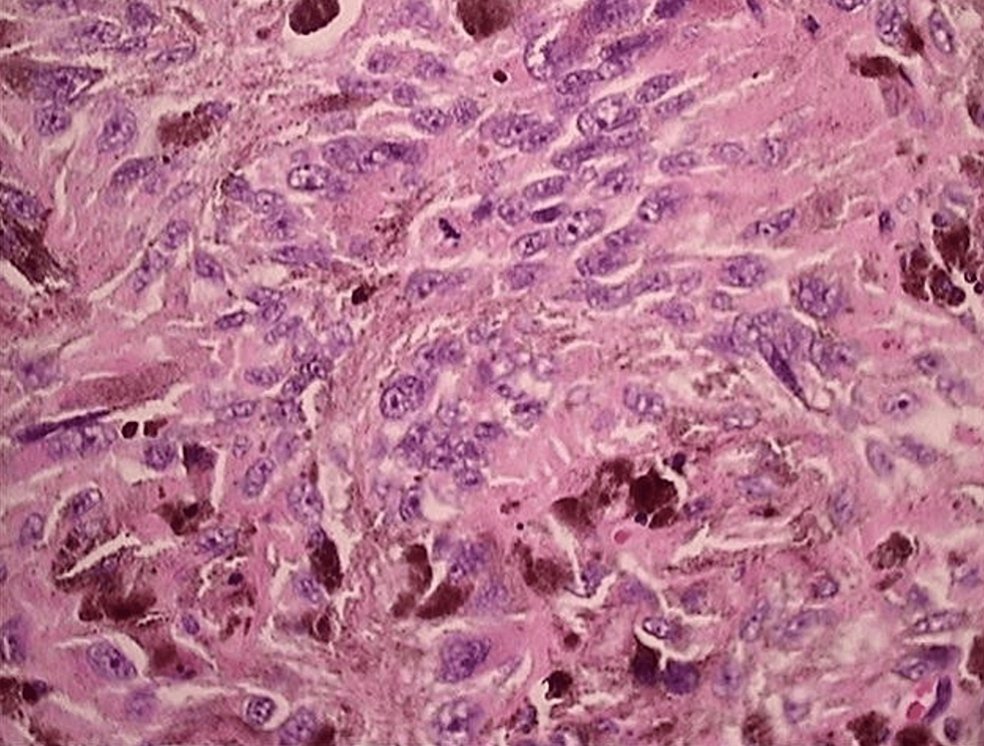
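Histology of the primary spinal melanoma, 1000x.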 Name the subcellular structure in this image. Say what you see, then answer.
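Many nuclei contain a distinct dark dot. These dots are seen in pale nuclei across the field. On this evidence: prominent nucleoli.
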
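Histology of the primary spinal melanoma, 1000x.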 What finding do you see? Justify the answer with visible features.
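Nuclei vary in size and shape from cell to cell. Many nuclei are large relative to their cytoplasm. Nuclear outlines are irregular. So: irregular and enlarged pleomorphic nuclei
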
